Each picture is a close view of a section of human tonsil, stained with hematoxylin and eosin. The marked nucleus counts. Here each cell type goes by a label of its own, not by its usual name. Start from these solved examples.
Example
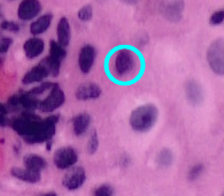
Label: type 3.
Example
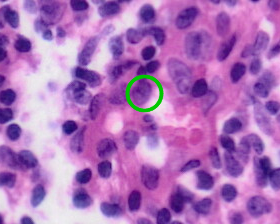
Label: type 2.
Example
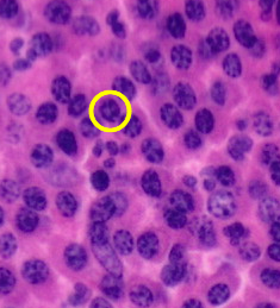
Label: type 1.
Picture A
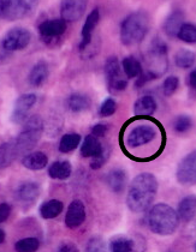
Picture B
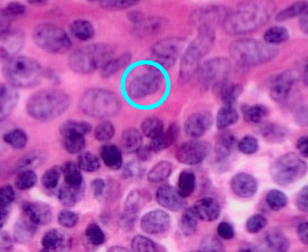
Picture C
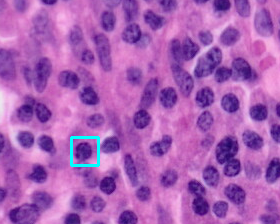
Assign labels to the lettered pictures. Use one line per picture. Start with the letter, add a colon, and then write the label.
A: type 1.
B: type 2.
C: type 1.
